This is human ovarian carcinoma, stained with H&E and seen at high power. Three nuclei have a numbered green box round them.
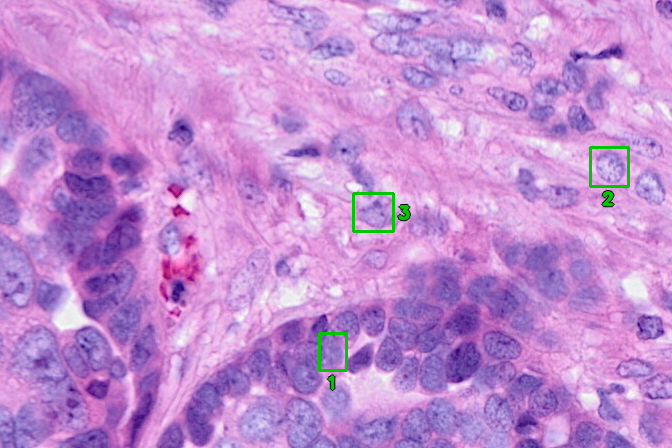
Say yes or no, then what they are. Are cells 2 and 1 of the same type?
No, the cell labelled 2 is a fibroblast; the cell labelled 1 is a carcinoma cell.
